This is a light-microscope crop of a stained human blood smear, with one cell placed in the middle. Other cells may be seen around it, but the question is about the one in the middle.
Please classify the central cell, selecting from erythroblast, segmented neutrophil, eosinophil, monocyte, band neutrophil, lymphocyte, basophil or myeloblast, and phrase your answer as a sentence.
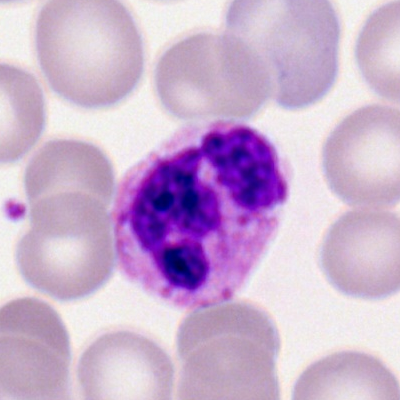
The centrally located cell in the crop is a basophil.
